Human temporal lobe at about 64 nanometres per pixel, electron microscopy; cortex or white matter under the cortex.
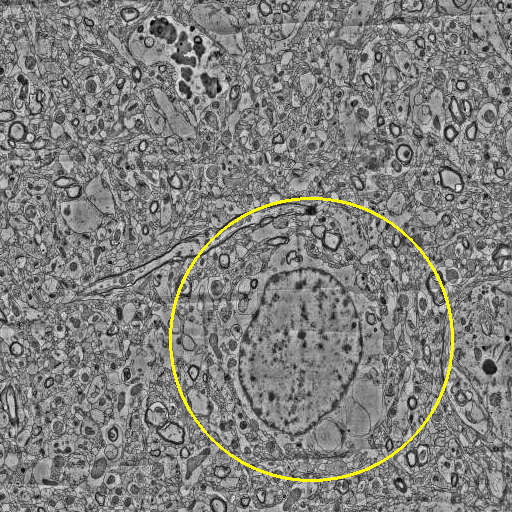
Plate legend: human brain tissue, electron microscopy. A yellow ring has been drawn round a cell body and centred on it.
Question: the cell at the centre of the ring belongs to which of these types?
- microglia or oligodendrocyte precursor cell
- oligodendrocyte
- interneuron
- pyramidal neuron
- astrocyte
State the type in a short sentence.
The cell in the middle of the ring is an astrocyte.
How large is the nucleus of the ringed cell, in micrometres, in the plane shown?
The nucleus measures about 11 by 8 micrometres in this plane.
